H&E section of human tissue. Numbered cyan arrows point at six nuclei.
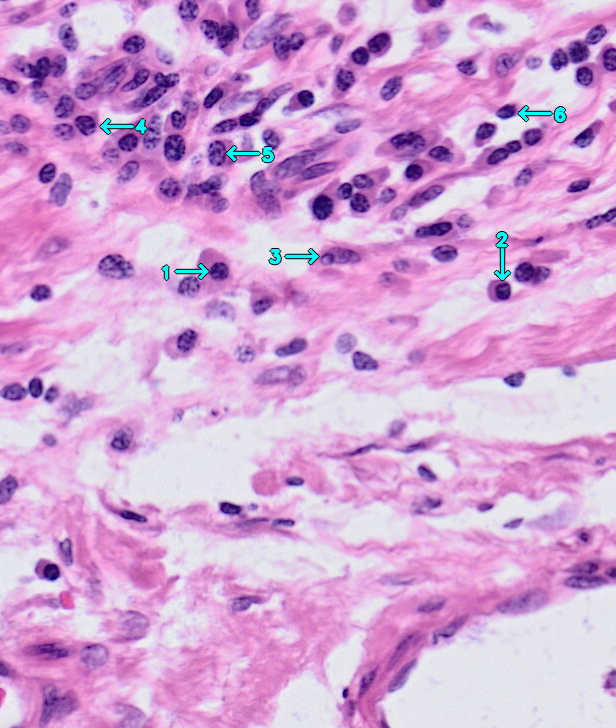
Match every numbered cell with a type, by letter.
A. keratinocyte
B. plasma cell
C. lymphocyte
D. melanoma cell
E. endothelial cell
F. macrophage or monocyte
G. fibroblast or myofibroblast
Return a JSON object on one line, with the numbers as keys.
{"1": "B", "2": "B", "3": "F", "4": "B", "5": "B", "6": "C"}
